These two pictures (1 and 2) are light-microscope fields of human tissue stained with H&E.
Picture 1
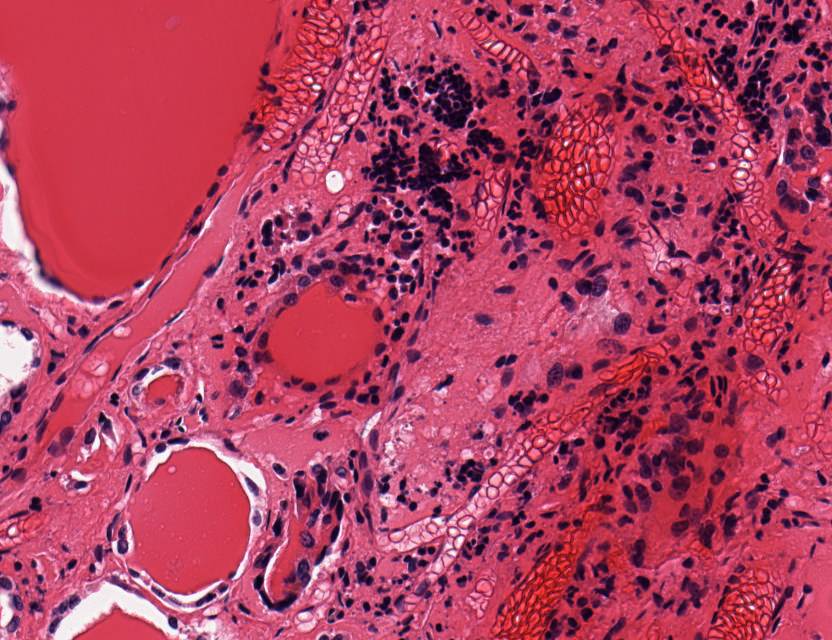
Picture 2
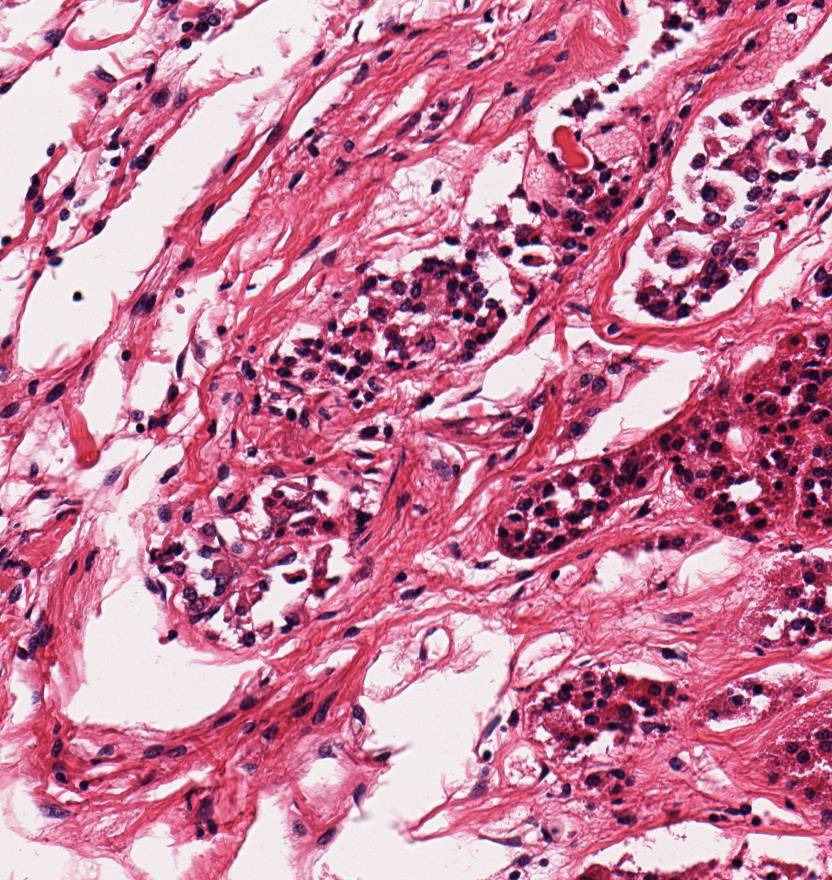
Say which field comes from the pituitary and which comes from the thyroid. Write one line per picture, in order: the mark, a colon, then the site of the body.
1: thyroid
2: pituitary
